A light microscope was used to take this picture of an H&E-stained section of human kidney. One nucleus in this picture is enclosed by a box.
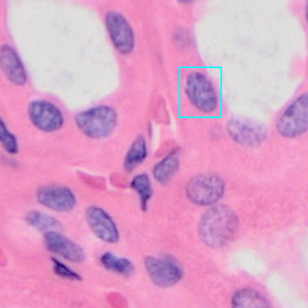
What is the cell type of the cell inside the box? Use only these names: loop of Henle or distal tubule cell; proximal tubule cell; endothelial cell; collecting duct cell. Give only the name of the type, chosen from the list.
loop of Henle or distal tubule cell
